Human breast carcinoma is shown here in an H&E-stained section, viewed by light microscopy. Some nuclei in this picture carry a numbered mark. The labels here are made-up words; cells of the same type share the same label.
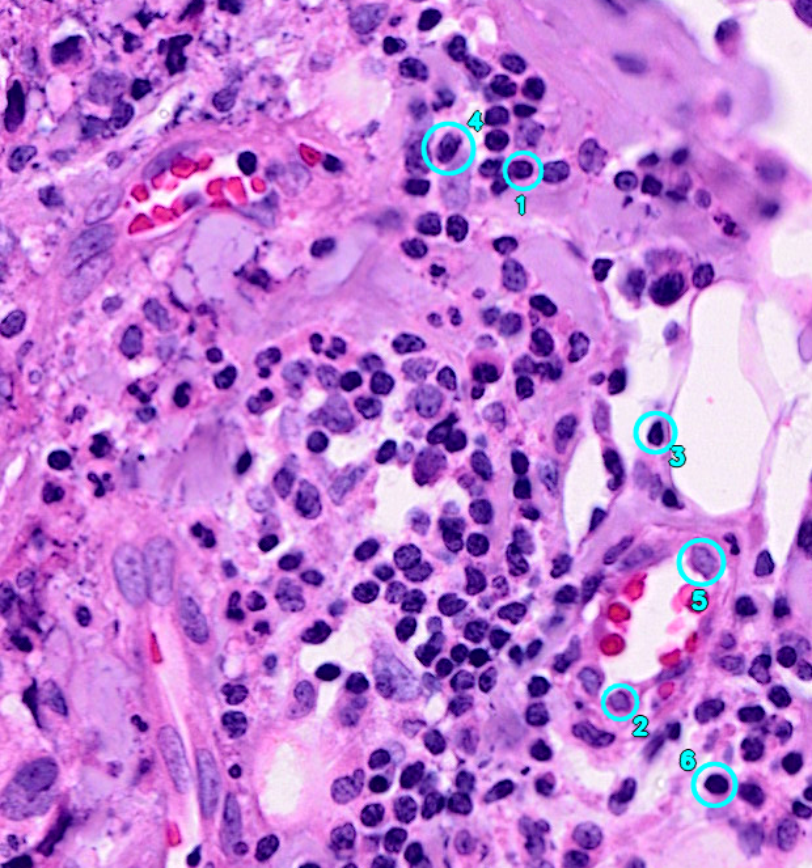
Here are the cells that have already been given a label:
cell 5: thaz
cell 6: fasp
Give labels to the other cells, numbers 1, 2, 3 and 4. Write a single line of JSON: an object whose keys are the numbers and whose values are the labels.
{"1": "fasp", "2": "thaz", "3": "fasp", "4": "fasp"}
